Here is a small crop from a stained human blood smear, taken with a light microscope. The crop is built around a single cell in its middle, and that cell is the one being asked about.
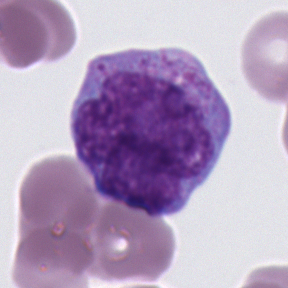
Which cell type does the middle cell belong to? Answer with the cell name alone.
atypical promyelocyte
